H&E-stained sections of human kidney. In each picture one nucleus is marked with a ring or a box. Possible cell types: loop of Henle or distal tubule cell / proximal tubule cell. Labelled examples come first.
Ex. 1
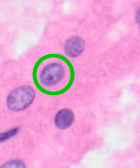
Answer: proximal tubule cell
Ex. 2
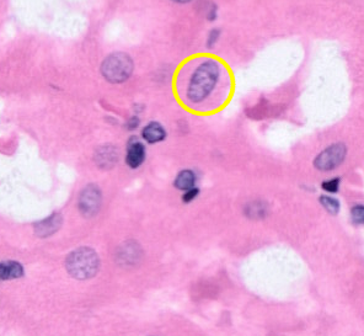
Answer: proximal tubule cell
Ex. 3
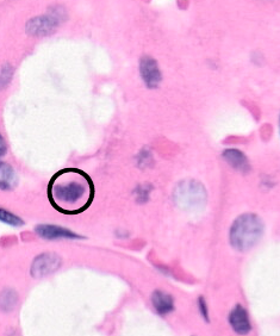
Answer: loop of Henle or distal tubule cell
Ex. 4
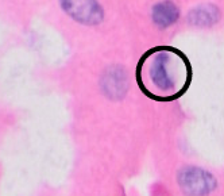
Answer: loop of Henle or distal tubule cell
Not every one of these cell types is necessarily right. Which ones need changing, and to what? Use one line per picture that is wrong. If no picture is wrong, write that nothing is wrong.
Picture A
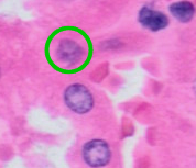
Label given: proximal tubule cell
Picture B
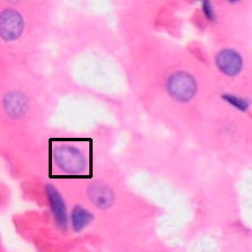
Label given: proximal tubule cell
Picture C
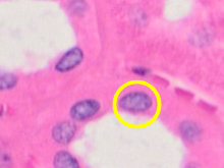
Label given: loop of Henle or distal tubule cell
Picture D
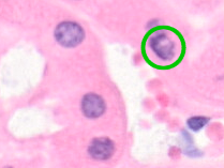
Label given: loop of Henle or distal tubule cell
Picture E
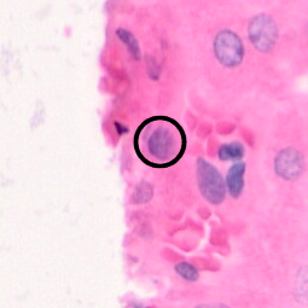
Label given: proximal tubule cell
D is labelled loop of Henle or distal tubule cell; correct label: proximal tubule cell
